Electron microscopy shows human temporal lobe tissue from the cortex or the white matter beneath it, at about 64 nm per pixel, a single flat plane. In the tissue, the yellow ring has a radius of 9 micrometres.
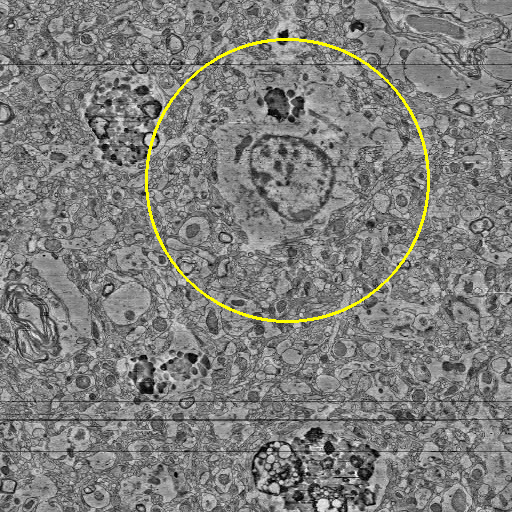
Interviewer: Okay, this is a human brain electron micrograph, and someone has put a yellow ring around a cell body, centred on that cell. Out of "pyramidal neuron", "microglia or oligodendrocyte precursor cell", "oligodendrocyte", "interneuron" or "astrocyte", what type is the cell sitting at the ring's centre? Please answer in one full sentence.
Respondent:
The cell at the centre of the yellow ring in this picture is an astrocyte.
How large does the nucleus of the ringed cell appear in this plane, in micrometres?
The nucleus works out at approximately 6 by 5 micrometres in this plane.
